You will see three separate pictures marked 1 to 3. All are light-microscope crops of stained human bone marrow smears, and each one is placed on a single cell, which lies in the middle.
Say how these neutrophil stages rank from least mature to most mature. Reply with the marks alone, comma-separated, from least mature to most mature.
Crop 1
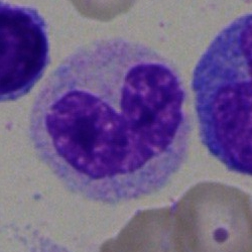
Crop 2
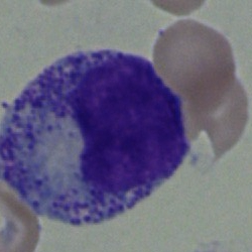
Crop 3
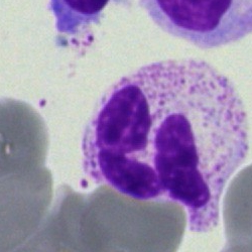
2, 1, 3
